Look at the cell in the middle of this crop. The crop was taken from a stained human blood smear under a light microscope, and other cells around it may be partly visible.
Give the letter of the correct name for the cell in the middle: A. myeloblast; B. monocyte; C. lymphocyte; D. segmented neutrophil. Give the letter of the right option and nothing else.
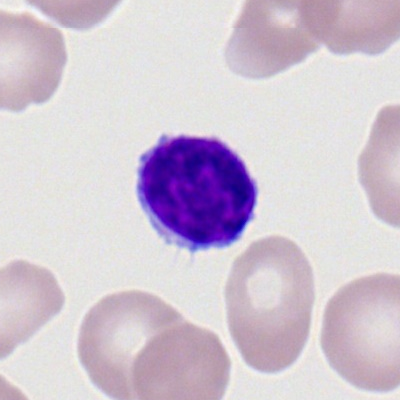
C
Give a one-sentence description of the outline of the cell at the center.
This cell does not have a smooth edge; it is ragged or extended into projections.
